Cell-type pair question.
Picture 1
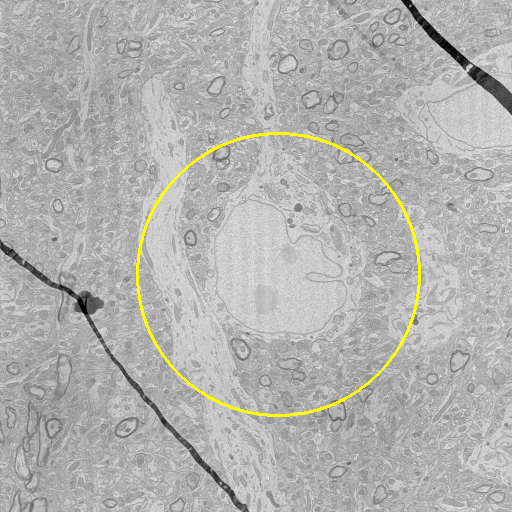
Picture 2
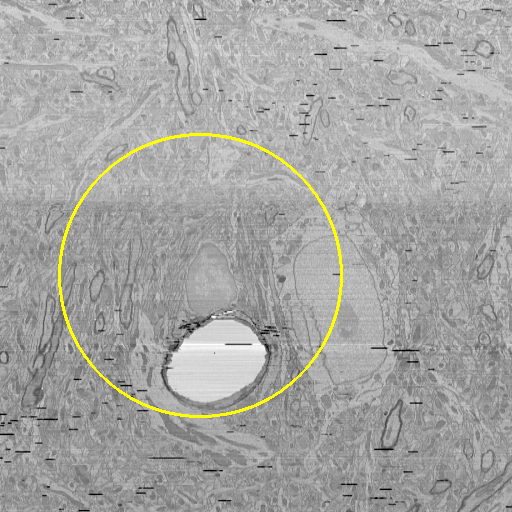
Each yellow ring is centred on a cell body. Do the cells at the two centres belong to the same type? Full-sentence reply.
No, the two cells belong to two types.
